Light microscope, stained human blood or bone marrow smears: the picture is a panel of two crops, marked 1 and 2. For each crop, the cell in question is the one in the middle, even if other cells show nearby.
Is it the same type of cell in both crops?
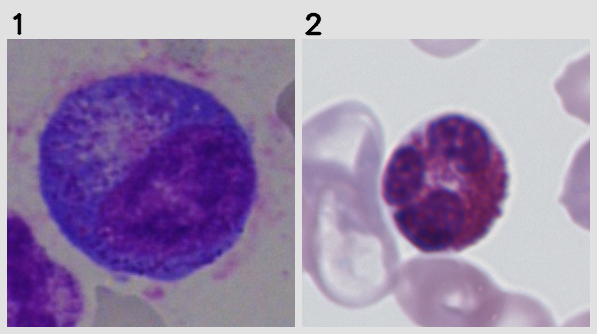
no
